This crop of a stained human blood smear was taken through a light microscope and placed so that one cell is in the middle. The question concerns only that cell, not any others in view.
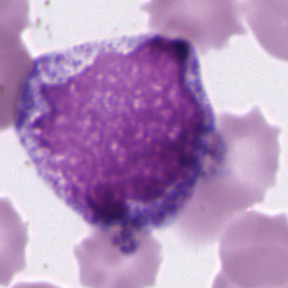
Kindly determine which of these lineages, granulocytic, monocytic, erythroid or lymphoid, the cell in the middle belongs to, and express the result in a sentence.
The lineage represented by the cell in the middle is granulocytic.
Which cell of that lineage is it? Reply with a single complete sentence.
The middle position in this crop is taken by a promyelocyte.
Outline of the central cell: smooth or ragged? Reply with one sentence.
The margin of this cell is irregular, showing raggedness or projections instead of smoothness.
